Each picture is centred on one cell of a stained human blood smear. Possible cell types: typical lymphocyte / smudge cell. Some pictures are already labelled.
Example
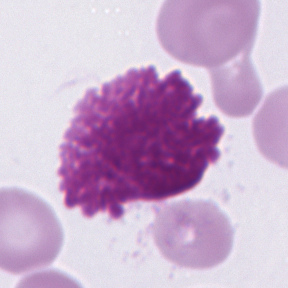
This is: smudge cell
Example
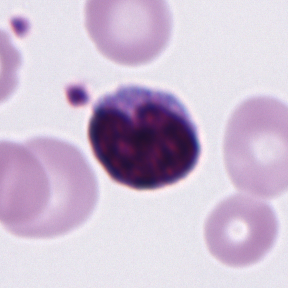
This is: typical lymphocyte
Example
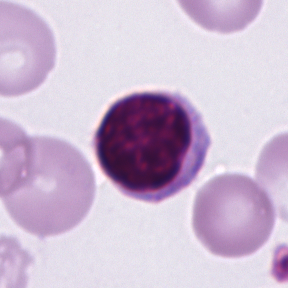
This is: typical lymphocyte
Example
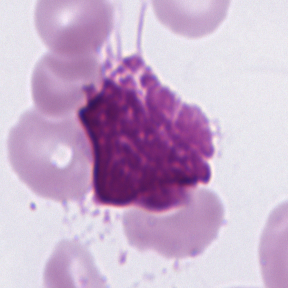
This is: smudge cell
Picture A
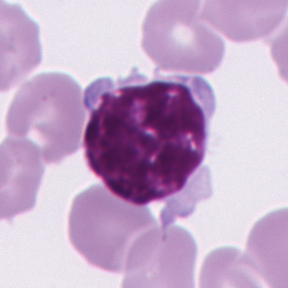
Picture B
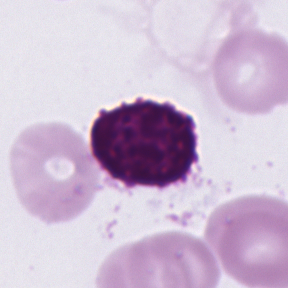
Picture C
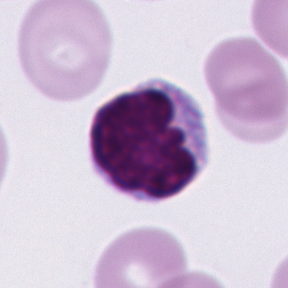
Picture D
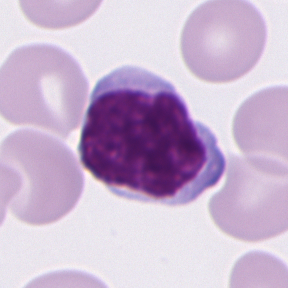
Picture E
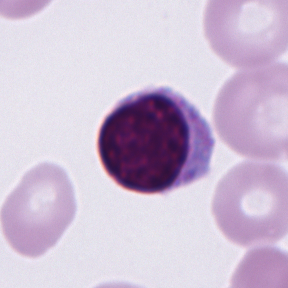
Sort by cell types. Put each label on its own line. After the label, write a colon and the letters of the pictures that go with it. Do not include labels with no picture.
typical lymphocyte: A, C, D, E
smudge cell: B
